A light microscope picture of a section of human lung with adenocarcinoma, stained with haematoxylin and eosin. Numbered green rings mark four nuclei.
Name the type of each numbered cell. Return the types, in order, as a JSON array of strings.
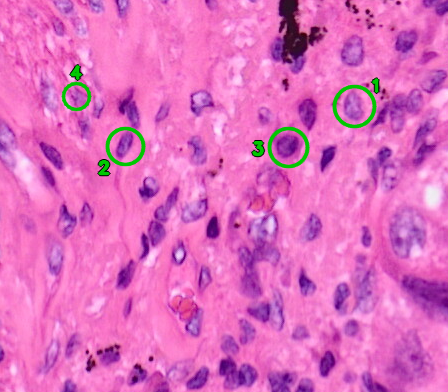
["fibroblast", "mast cell", "plasma cell", "smooth muscle cell or pericyte"]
